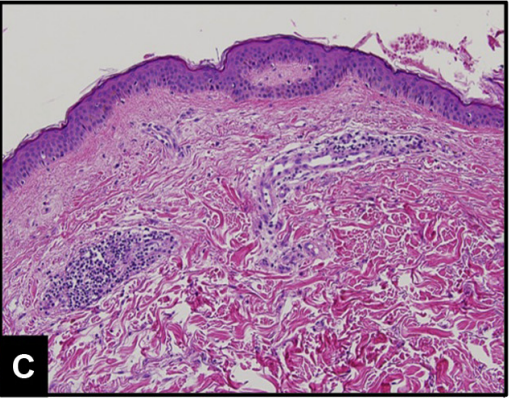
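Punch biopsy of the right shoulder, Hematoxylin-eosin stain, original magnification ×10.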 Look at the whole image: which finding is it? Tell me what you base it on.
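A small dense cluster of dark round nuclei lies in the dermis around a vessel. Smaller collections of dark nuclei follow vessels in the upper dermis. Most of the dermal collagen between them has few cells. The answer: sparse perivascular lymphocytes.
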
